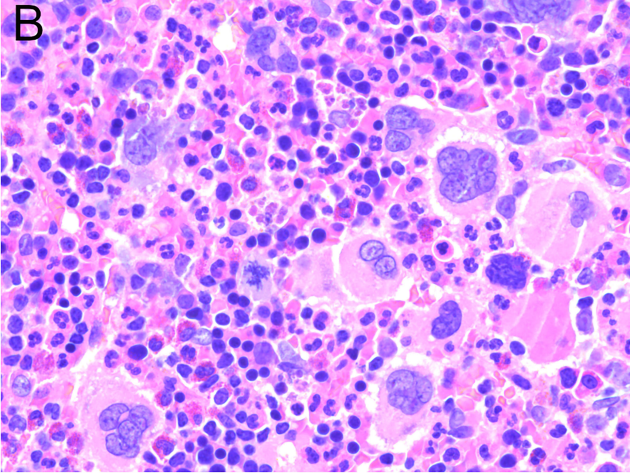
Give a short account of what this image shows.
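This is densely cellular bone marrow in which many very large cells stand out among crowded smaller marrow cells. The large cells have broad pink cytoplasm and big, dark, folded or lobulated nuclei, and several of them lie near one another in groups. Around them are numerous small round cells with dark nuclei and some with paler cytoplasm, the developing blood cells of the marrow. Almost no fat spaces interrupt the cell mass.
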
